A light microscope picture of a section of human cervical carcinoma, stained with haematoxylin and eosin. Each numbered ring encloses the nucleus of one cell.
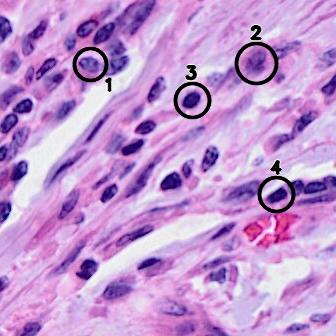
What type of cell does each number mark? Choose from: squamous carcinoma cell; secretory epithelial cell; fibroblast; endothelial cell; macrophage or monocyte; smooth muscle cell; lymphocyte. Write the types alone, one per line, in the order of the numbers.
lymphocyte
macrophage or monocyte
lymphocyte
lymphocyte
